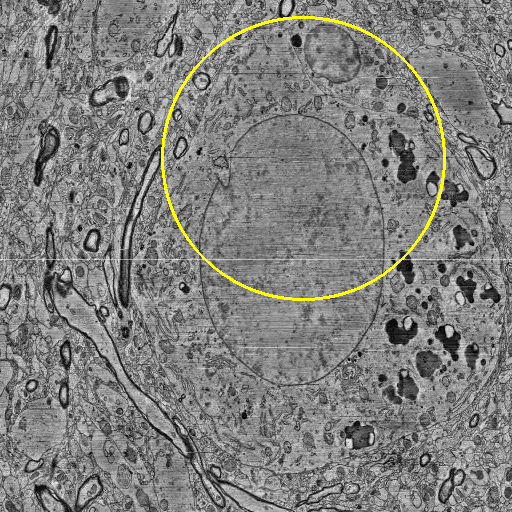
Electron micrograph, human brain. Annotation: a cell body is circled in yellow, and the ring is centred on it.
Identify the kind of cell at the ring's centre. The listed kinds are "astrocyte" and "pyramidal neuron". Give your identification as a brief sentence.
The circled cell body is that of a pyramidal neuron.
